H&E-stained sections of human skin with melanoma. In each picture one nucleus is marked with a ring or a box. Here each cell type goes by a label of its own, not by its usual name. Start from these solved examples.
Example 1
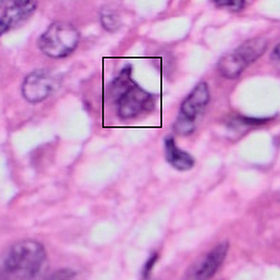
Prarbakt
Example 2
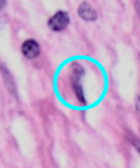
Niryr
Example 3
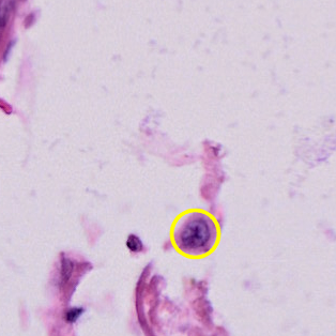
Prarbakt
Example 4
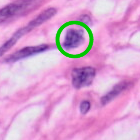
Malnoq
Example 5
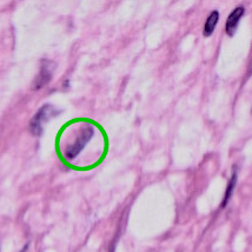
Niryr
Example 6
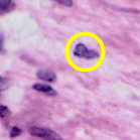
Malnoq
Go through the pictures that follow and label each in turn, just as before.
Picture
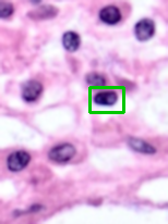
Malnoq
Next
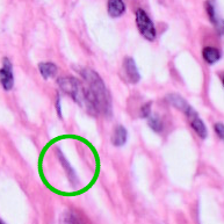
Niryr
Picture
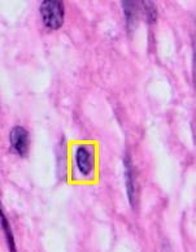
Malnoq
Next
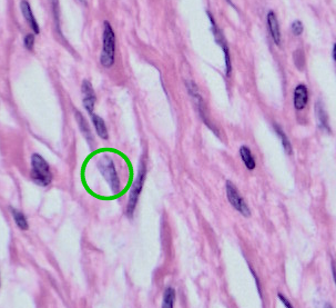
Niryr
